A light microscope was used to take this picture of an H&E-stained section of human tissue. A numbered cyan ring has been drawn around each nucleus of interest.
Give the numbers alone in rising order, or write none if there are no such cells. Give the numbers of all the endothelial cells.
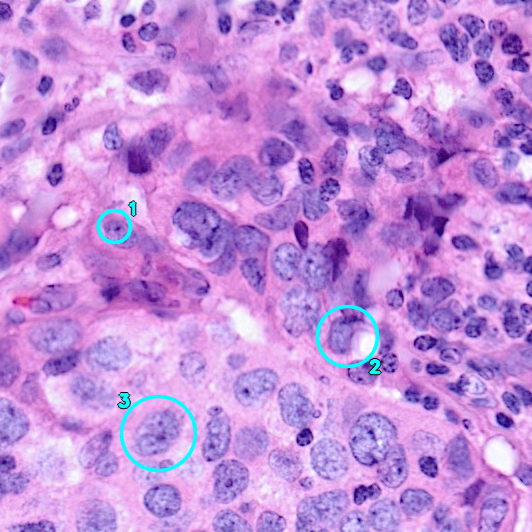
1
